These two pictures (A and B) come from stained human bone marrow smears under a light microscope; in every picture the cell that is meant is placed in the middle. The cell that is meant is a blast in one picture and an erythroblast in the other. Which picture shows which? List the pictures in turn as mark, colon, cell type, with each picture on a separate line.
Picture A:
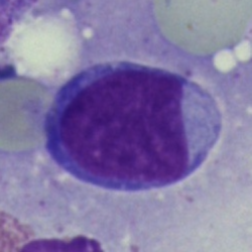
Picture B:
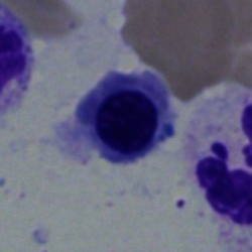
A: blast
B: erythroblast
